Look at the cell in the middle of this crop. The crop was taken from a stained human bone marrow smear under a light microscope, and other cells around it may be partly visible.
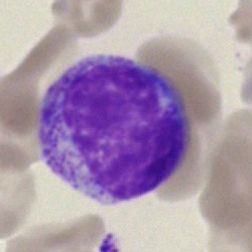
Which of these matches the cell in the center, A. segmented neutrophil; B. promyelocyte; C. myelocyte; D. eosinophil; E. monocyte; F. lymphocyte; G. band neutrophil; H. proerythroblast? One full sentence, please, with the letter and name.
Since the cell in the middle is a myelocyte, option C is correct.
